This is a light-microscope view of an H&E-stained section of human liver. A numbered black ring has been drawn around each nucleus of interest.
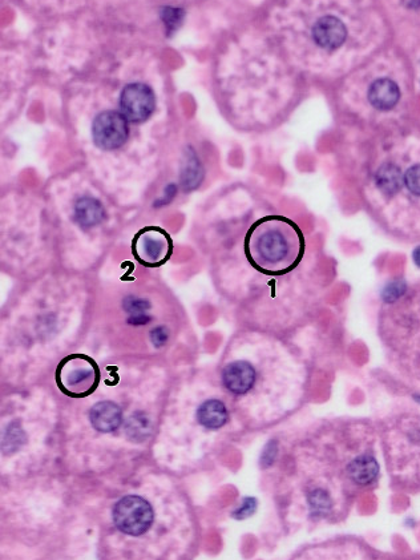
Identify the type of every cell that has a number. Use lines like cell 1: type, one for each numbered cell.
cell 1: hepatocyte
cell 2: lymphocyte
cell 3: endothelial cell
